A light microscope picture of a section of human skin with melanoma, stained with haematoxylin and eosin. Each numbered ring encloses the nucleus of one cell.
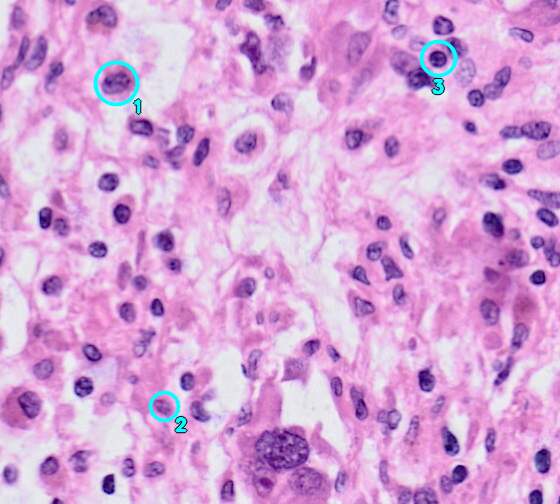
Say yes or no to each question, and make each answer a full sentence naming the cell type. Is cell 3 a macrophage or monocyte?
No, a lymphocyte is what cell 3 is, not a macrophage or monocyte.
